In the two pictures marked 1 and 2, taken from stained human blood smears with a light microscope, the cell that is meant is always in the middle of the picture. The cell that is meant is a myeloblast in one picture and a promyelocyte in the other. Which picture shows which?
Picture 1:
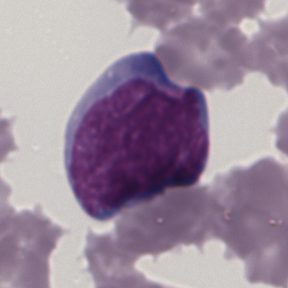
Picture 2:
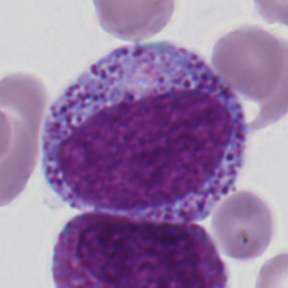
1: myeloblast
2: promyelocyte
